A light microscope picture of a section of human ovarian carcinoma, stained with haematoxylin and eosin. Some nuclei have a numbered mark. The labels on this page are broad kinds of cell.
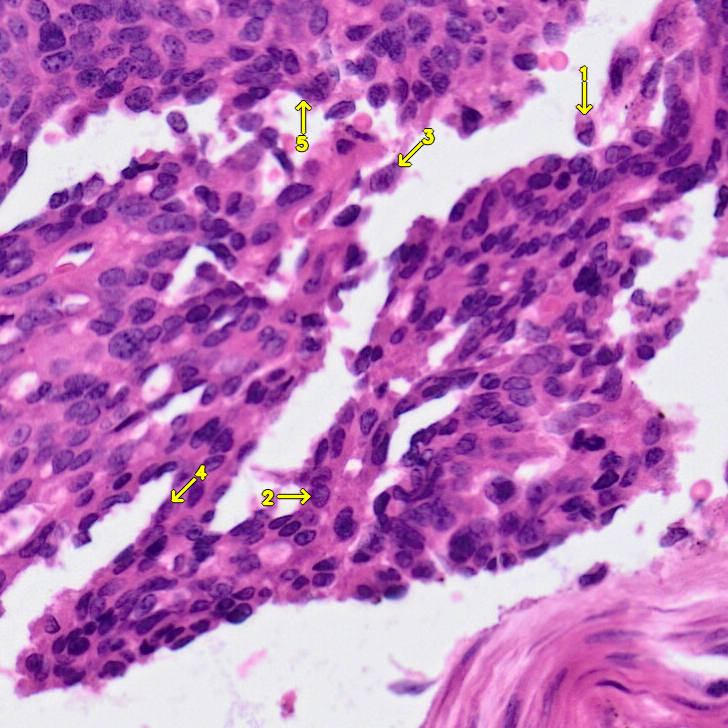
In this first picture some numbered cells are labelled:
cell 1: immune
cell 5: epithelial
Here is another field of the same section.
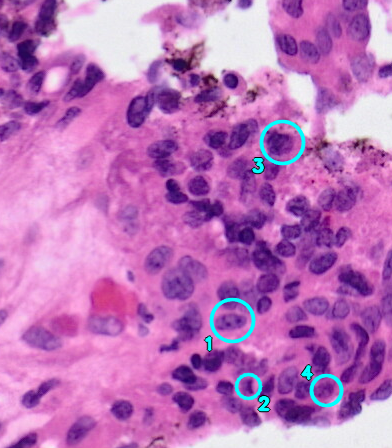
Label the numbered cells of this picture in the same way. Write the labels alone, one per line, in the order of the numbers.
immune
epithelial
epithelial
epithelial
